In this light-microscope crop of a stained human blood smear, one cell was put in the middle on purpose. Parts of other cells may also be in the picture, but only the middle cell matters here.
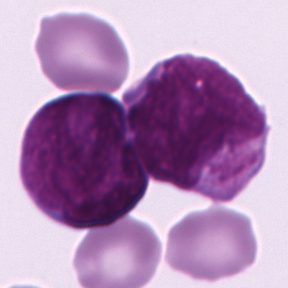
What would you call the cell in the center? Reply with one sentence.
Seen at the centre of the crop is a myeloblast.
